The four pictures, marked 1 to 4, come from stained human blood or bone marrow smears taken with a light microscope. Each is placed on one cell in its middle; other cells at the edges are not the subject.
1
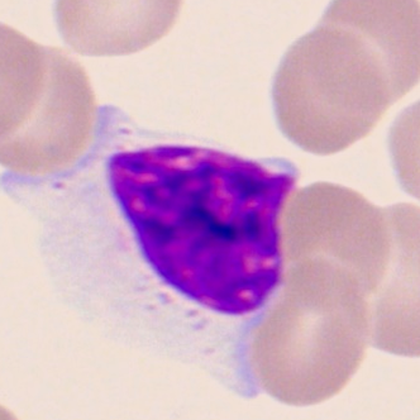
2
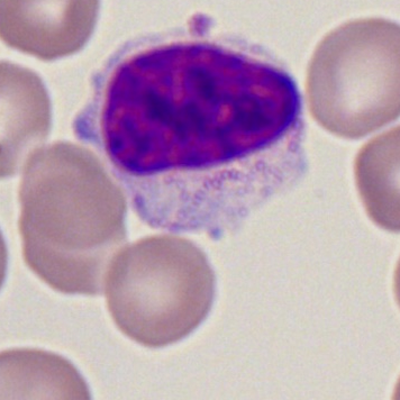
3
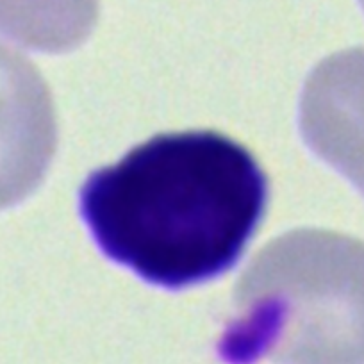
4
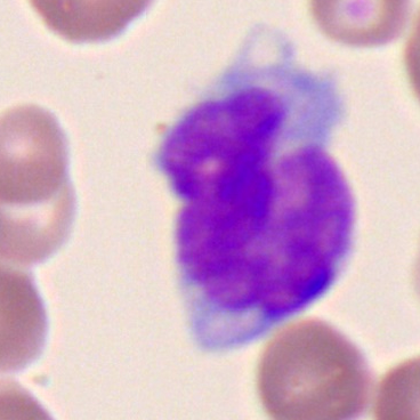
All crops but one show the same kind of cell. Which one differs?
4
